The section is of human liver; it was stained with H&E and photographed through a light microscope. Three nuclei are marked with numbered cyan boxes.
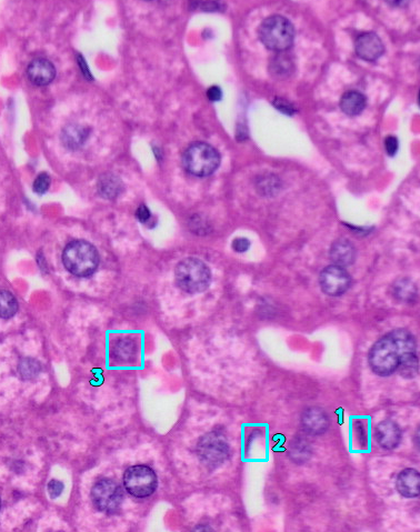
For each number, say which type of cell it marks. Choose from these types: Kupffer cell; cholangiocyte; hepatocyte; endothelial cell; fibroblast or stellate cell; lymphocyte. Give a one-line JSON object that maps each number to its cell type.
{"1": "Kupffer cell", "2": "endothelial cell", "3": "hepatocyte"}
